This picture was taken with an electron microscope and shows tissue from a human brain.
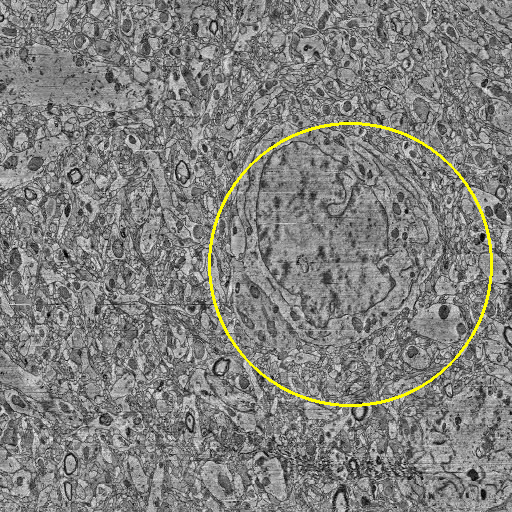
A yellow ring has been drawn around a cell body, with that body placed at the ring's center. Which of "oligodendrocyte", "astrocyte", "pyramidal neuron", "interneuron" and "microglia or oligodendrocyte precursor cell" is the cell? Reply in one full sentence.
In this picture, an interneuron is the cell at the center of the yellow ring.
